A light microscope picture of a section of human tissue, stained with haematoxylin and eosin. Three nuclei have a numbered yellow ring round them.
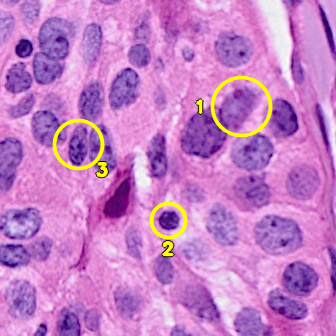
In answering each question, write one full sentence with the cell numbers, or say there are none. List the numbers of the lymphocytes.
Of those with numbers, only cell 2 is a lymphocyte.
